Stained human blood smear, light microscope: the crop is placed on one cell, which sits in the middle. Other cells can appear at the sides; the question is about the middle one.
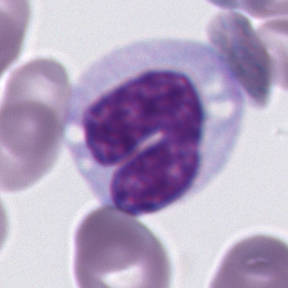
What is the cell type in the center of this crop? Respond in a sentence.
This crop has a band neutrophil at its centre.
